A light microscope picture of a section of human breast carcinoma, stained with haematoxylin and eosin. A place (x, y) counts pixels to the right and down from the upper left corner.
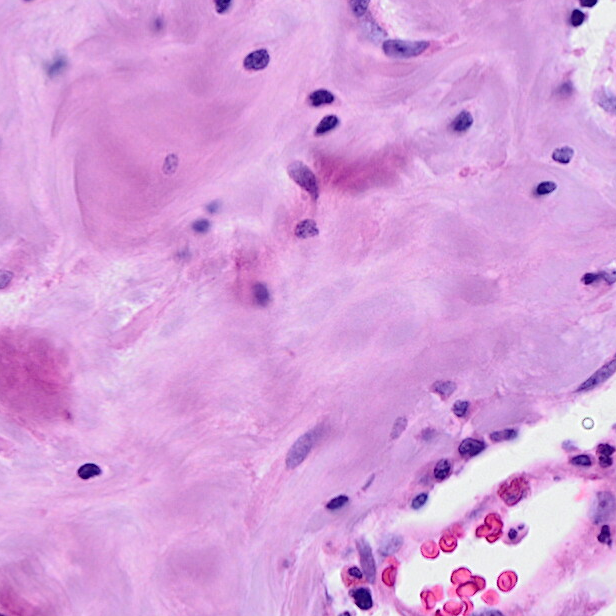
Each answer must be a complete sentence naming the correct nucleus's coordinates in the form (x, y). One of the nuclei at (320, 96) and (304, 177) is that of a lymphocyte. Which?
The nucleus belonging to a lymphocyte is the one at (320, 96).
